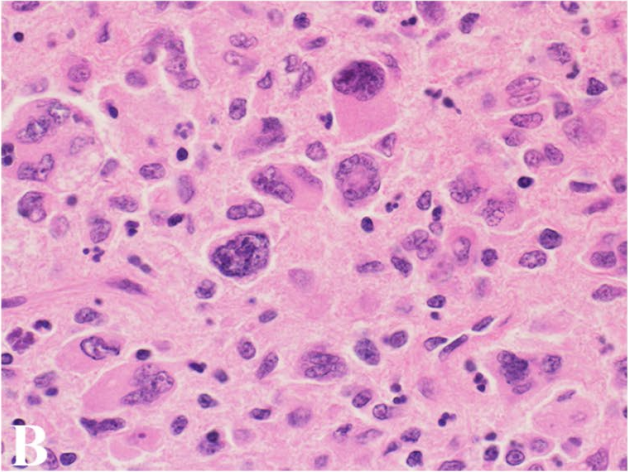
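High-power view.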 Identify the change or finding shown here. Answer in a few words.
marked cytologic atypia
